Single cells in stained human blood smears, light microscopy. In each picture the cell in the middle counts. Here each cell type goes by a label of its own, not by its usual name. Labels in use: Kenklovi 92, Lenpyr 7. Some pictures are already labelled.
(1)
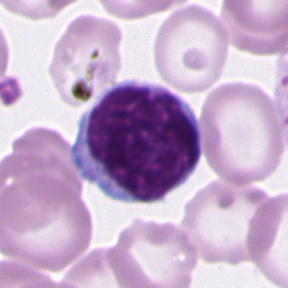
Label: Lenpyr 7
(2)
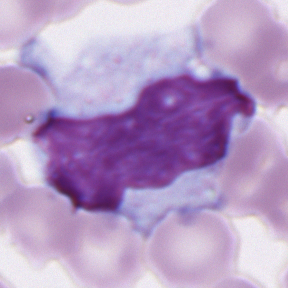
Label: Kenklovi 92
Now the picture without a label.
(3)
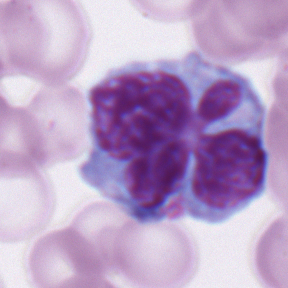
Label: Kenklovi 92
